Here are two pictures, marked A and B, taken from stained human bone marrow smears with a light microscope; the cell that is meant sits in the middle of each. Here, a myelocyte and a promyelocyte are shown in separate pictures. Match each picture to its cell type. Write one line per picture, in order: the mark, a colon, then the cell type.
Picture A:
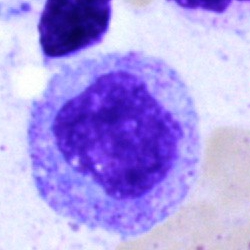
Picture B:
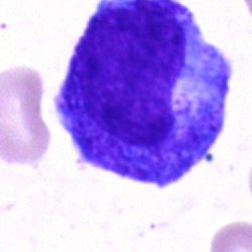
A: myelocyte
B: promyelocyte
